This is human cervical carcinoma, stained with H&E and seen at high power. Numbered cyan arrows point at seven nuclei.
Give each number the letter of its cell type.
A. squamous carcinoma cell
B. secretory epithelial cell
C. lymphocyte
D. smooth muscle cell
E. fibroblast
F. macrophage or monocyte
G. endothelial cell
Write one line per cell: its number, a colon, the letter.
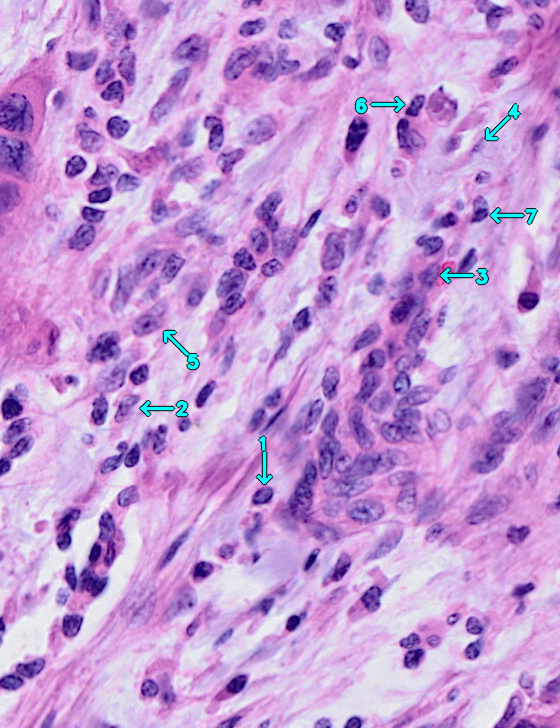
1: C
2: F
3: G
4: E
5: F
6: C
7: C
